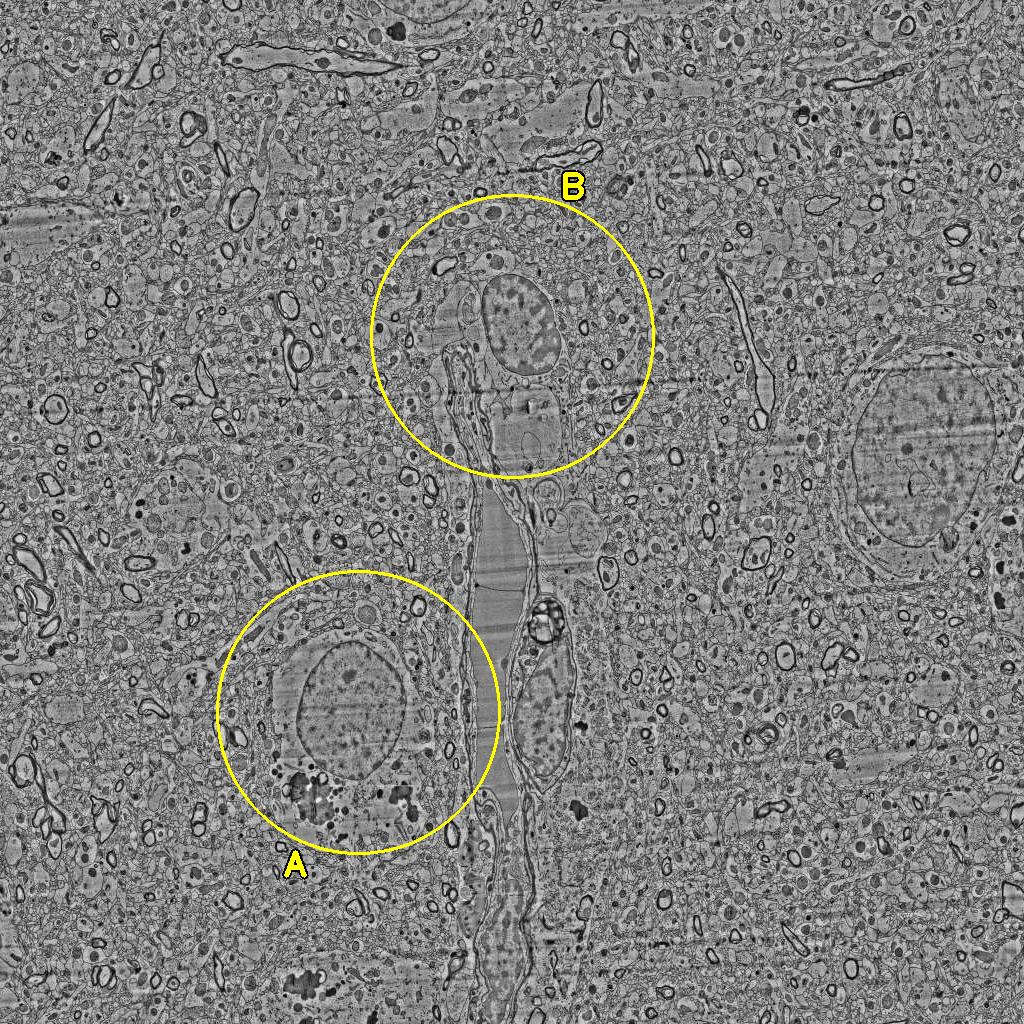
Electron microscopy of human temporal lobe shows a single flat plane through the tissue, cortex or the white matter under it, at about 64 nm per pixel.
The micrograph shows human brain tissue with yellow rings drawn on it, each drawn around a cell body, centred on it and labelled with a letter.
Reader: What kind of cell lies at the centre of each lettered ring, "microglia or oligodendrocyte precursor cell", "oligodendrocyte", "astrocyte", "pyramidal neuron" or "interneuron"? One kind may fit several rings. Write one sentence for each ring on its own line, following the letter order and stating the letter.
At the centre of ring A lies an astrocyte.
At the centre of ring B lies a microglial cell or oligodendrocyte precursor cell.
